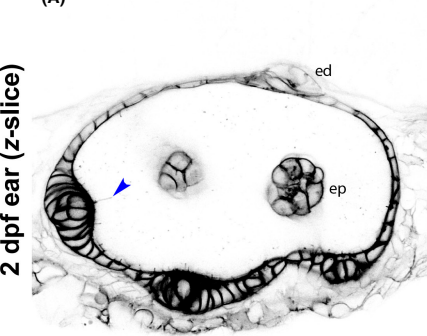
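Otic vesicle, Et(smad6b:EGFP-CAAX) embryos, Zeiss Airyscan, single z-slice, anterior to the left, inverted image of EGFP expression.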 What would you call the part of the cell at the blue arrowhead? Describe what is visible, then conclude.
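A thin, long hair-like line projects from the epithelium into the lumen at the arrowhead. It arises from a thickened cluster of elongated cells on the left wall. That points to this answer: kinocilia.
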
